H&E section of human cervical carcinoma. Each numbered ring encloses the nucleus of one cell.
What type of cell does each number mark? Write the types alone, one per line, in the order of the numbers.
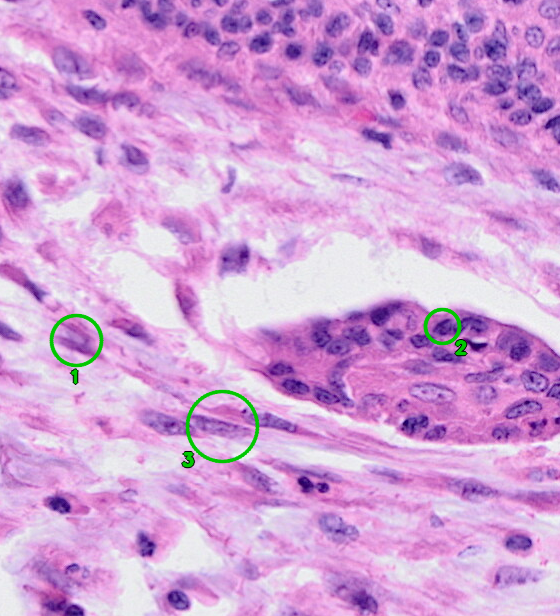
fibroblast
squamous carcinoma cell
fibroblast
